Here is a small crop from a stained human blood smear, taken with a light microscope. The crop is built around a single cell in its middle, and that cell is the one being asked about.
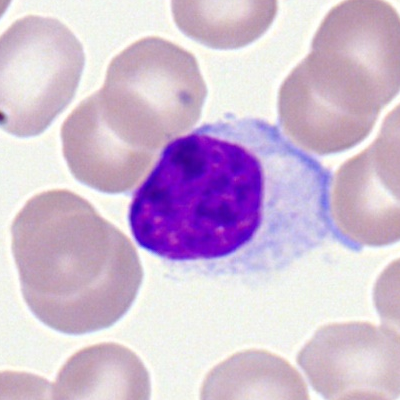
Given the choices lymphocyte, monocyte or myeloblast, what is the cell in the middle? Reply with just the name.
lymphocyte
